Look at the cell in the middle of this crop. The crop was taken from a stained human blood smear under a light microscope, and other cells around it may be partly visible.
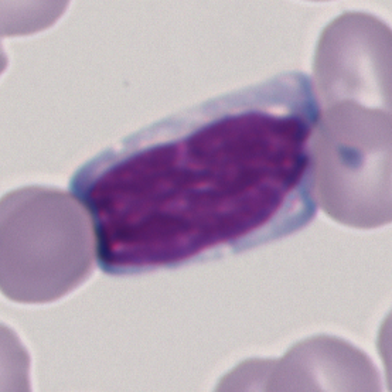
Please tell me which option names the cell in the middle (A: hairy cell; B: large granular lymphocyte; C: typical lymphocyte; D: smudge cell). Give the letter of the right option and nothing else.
C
